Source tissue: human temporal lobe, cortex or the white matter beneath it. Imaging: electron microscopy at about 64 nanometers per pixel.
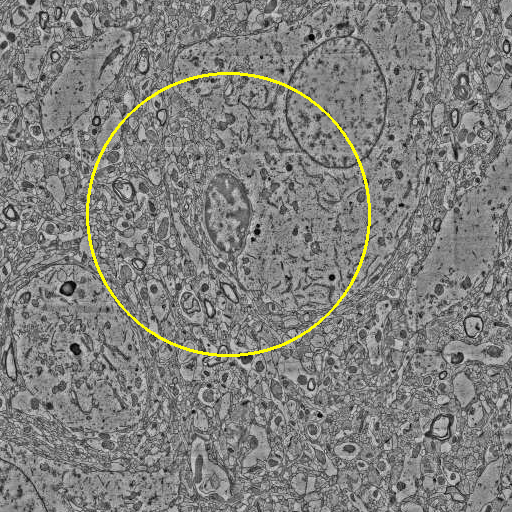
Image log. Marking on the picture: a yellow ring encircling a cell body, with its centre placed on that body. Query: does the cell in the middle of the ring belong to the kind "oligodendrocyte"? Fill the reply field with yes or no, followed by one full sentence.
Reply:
Yes, the cell at the centre of the yellow ring in this picture belongs to that kind.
